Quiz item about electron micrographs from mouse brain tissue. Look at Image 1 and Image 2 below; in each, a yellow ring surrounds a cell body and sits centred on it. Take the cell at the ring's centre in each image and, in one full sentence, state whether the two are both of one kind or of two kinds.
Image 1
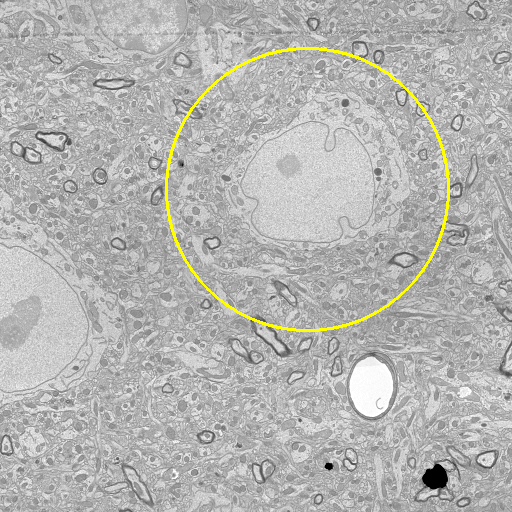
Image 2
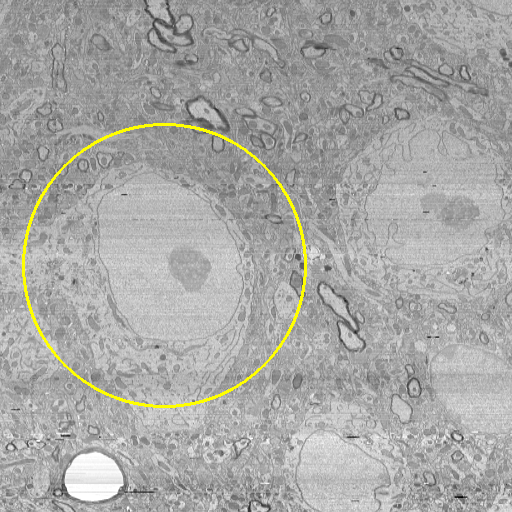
In Image 1 and Image 2, the cells at the ring centres are both of one kind.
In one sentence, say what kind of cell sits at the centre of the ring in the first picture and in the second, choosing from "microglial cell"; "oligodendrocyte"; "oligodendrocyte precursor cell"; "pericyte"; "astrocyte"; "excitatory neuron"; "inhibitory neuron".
Each of the two rings surrounds an excitatory neuron.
